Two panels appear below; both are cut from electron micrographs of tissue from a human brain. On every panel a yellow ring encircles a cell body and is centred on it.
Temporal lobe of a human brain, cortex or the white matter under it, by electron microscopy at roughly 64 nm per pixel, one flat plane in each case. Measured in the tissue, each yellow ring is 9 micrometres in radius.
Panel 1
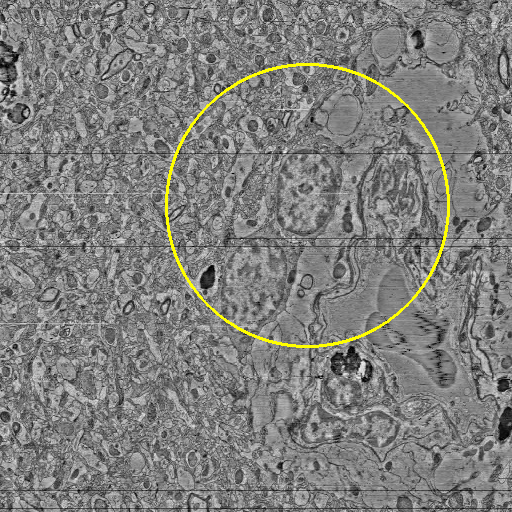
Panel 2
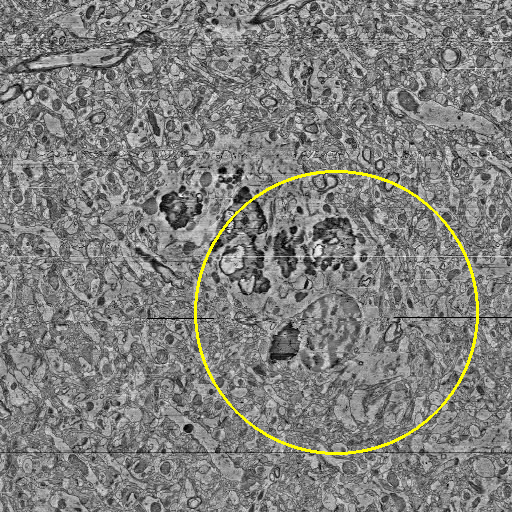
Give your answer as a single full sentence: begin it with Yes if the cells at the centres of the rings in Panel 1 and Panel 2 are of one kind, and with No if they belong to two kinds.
Yes, the cells in the middle of the rings in Panels 1 and 2 are of one kind.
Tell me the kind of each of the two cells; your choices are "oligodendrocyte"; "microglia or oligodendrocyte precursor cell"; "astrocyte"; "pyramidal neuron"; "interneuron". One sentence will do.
The second cell is an oligodendrocyte, just as the first is.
